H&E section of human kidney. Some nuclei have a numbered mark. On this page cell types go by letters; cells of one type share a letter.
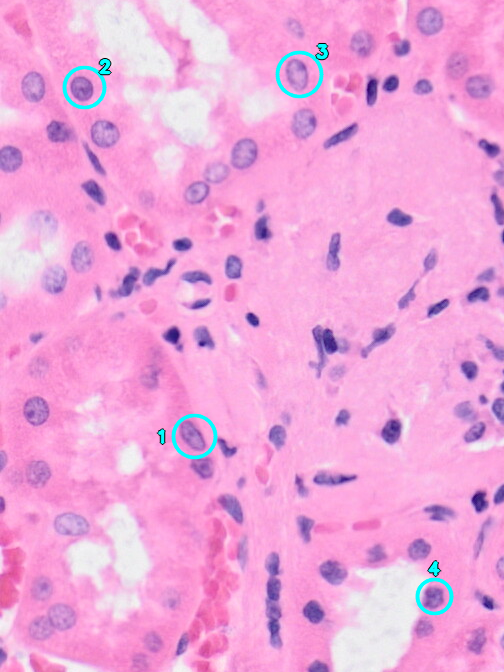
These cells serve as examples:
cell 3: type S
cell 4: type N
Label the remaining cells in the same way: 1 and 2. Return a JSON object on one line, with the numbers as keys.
{"1": "type S", "2": "type S"}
